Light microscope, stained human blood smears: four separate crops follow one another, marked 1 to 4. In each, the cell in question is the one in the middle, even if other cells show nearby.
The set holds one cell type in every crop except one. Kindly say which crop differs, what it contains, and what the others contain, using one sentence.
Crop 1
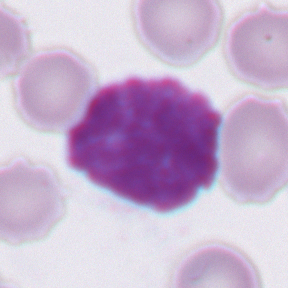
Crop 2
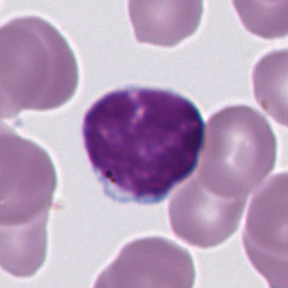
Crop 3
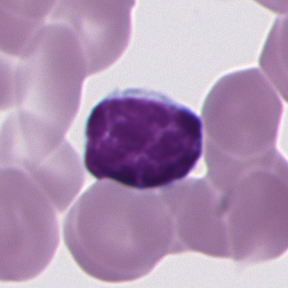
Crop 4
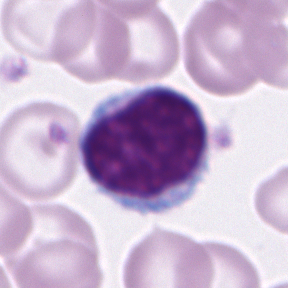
Whereas the other crops all show typical lymphocytes, crop 1 shows a smudge cell.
